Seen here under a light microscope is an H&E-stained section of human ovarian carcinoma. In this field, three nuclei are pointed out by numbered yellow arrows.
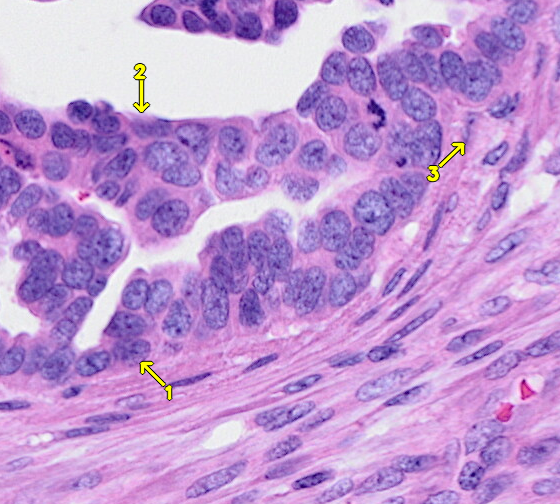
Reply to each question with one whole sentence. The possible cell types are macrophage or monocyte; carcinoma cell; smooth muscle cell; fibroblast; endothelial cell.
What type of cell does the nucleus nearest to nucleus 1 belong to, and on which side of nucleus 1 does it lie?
The nearest nucleus is that of a carcinoma cell and lies above nucleus 1.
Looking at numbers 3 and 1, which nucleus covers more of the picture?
At about 4 times the area of nucleus 3, nucleus 1 is the larger of the two.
